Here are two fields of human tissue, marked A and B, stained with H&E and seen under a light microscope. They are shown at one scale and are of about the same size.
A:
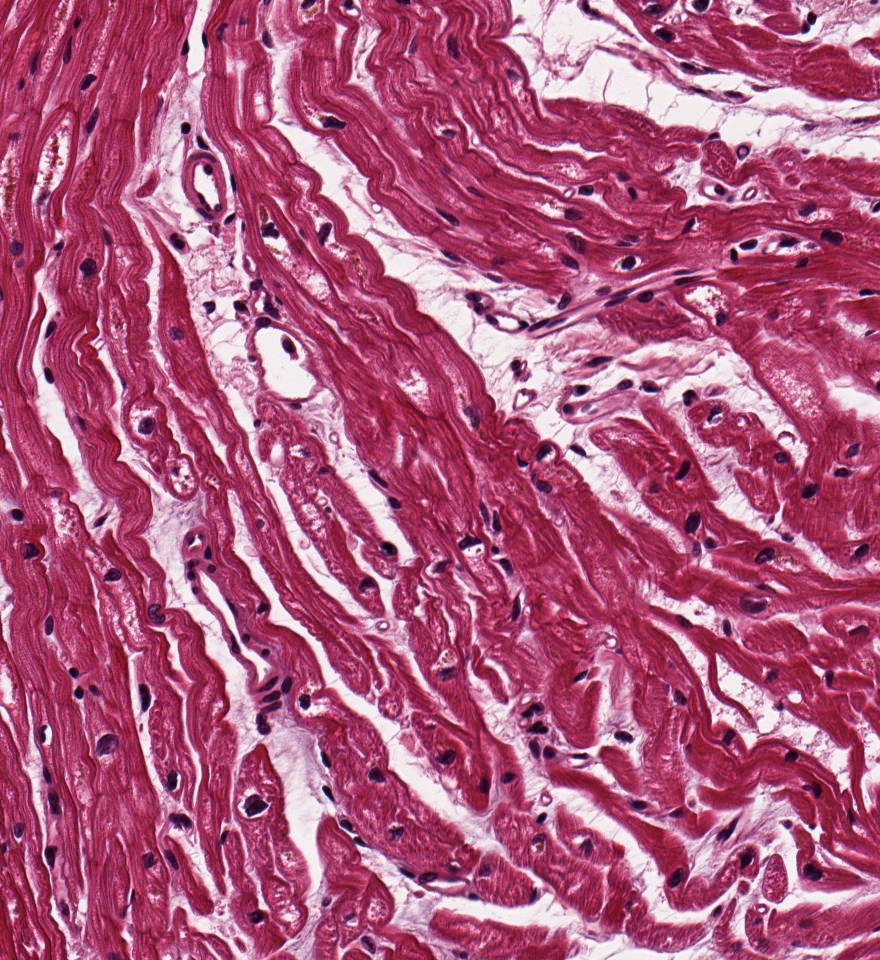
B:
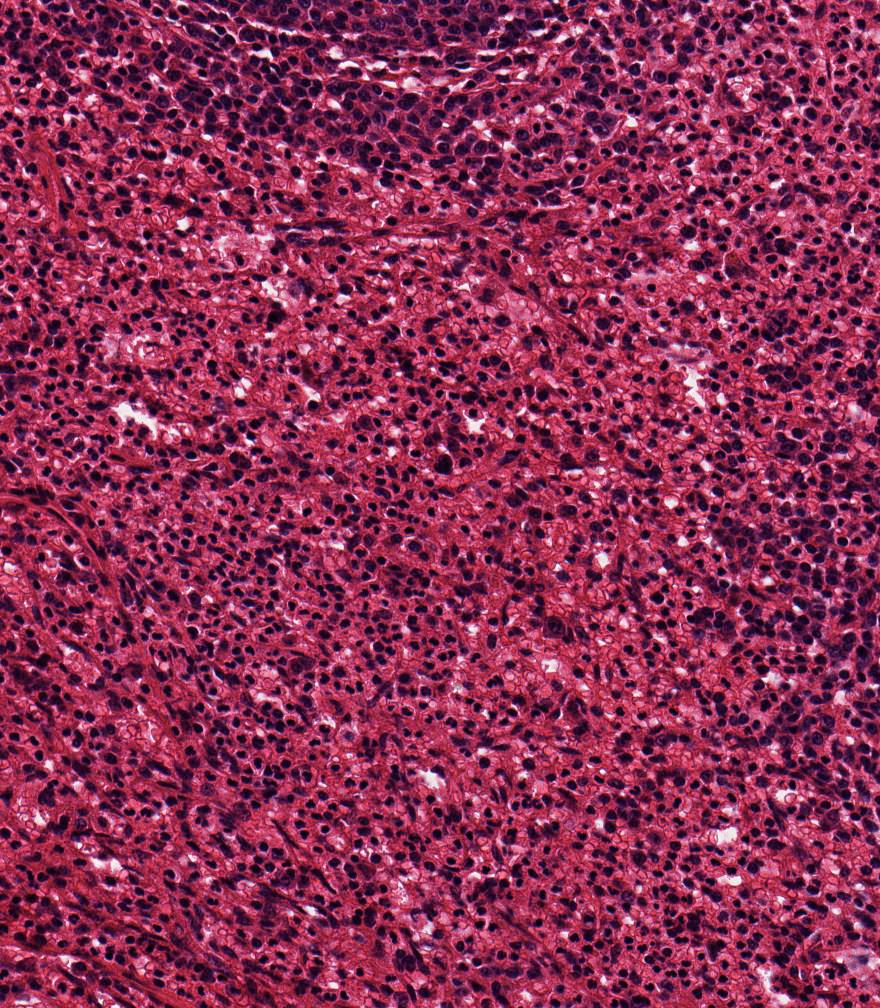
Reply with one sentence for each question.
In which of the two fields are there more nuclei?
More nuclei lie in field B than in field A.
